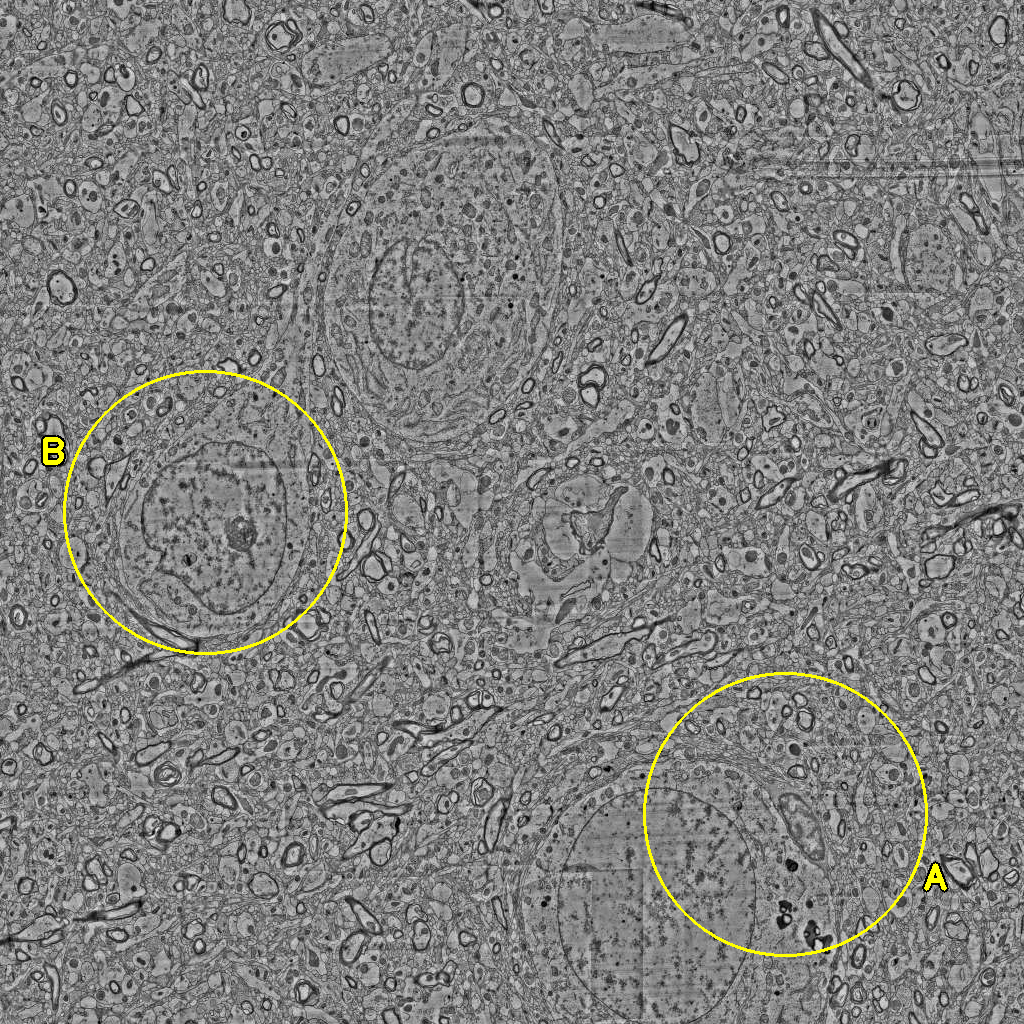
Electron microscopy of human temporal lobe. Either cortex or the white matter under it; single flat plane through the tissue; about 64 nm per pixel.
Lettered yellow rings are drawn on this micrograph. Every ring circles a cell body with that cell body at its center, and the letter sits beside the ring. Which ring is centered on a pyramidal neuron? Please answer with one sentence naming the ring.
Ring B has it at its center.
